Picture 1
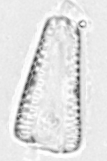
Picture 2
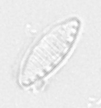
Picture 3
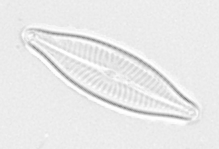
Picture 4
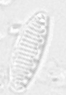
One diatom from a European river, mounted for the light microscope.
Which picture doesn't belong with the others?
Picture 3.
